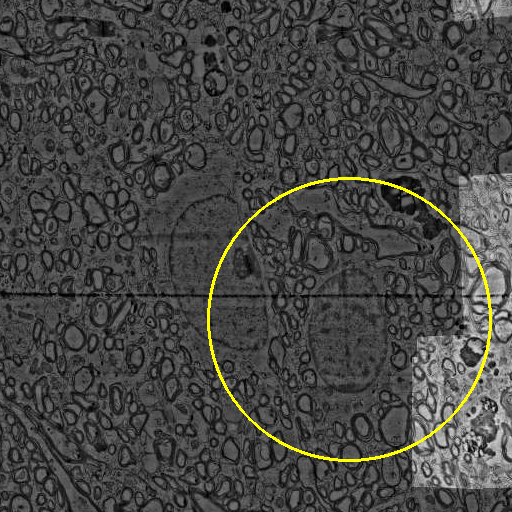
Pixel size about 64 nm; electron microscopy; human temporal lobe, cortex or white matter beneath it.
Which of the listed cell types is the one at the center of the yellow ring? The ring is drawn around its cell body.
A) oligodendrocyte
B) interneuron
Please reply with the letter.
A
